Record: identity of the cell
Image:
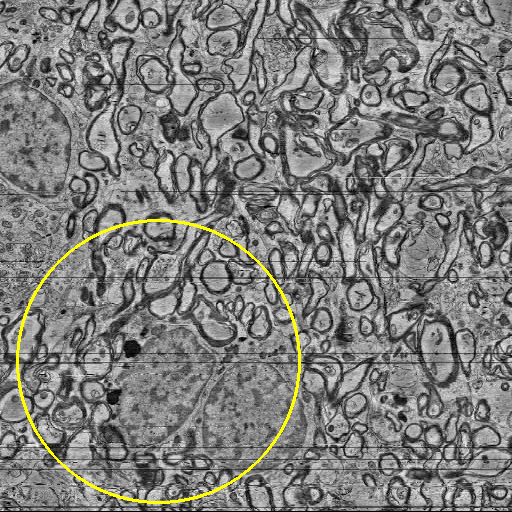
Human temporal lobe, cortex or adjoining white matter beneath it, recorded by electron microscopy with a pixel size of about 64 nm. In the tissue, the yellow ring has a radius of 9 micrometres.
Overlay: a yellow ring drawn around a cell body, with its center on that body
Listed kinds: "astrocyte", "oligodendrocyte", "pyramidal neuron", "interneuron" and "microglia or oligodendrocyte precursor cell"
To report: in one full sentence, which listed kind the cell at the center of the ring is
In the image, the cell body at the ring's center belongs to an oligodendrocyte.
